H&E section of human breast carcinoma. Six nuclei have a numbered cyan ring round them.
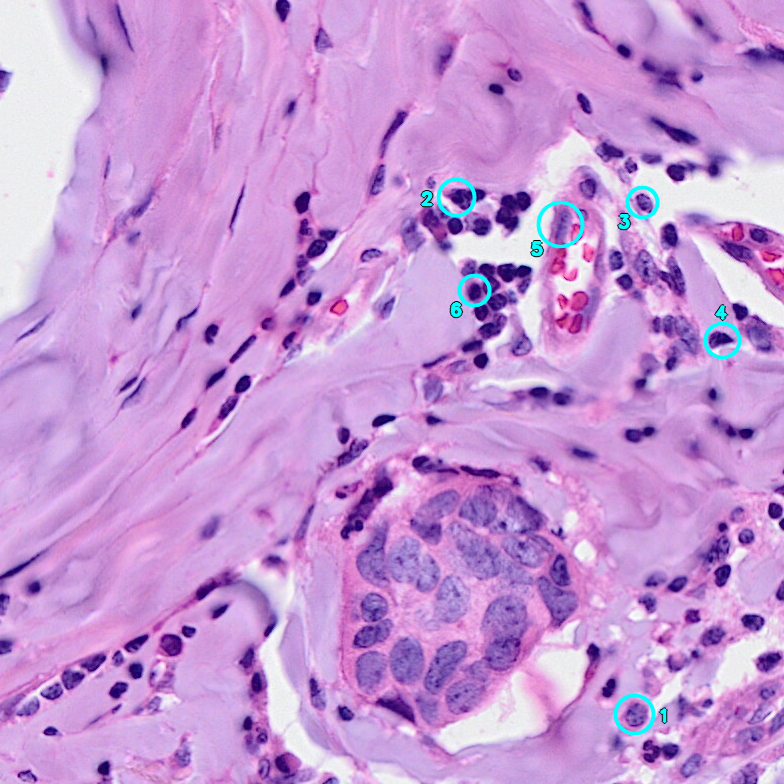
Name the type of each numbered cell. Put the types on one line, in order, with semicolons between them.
mast cell; lymphocyte; lymphocyte; lymphocyte; endothelial cell; lymphocyte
